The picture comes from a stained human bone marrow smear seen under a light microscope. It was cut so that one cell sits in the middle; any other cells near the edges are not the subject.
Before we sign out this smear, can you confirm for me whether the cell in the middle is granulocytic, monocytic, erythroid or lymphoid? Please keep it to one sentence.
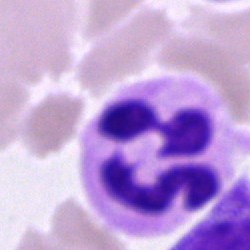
Lineage assignment for the central cell is granulocytic.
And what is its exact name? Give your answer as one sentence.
The cell at the heart of this crop is a segmented neutrophil.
